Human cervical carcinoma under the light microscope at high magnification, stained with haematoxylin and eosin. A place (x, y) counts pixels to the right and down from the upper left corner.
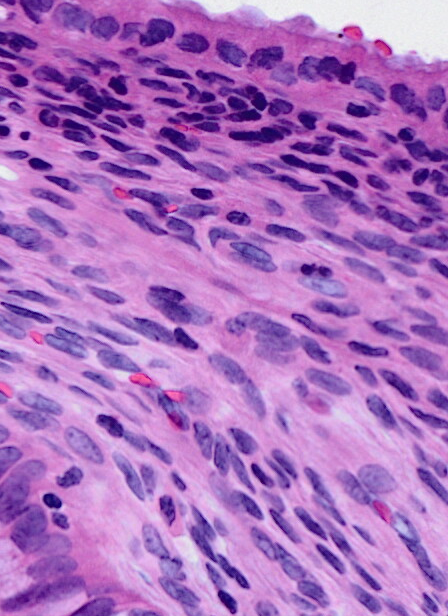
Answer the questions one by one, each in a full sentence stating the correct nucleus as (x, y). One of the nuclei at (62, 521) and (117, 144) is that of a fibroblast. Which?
The nucleus at (117, 144) is the member of the pair belonging to a fibroblast.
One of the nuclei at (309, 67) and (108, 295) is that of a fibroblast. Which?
The nucleus that belongs to a fibroblast sits at (108, 295).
